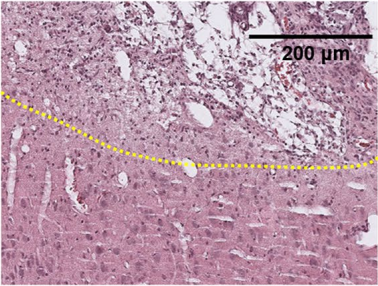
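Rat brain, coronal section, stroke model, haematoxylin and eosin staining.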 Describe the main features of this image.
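Lower edge of a cortical infarct with mononuclear inflammatory cell infiltration. Above the yellow dashed line the tissue is pale and spongy, broken by clear vacuoles and small vessels, and densely sprinkled with small dark round nuclei. Below the line, intact cortex is compact and pink with evenly spaced cell nuclei and elongated vessel profiles. The transition between the loose infiltrated zone and the preserved cortex is fairly sharp.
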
